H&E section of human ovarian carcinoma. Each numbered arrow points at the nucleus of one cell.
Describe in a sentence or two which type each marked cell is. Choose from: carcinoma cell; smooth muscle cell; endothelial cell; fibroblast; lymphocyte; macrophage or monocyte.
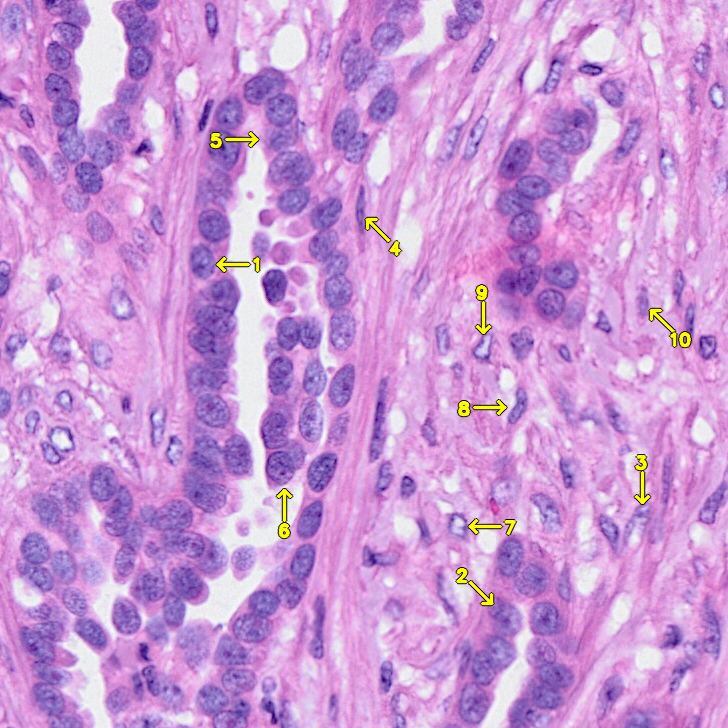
Cell 1 is a carcinoma cell, cell 2 is a carcinoma cell, cell 3 is a fibroblast, cell 4 is a fibroblast, cell 5 is a carcinoma cell, cell 6 is a carcinoma cell, cell 7 is a fibroblast, cell 8 is a fibroblast, cell 9 is a fibroblast and cell 10 is a fibroblast.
